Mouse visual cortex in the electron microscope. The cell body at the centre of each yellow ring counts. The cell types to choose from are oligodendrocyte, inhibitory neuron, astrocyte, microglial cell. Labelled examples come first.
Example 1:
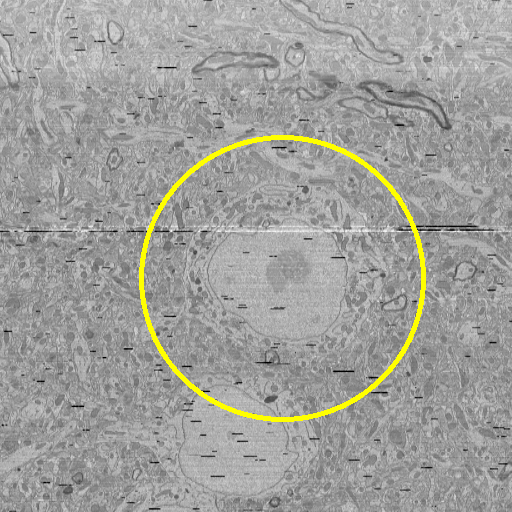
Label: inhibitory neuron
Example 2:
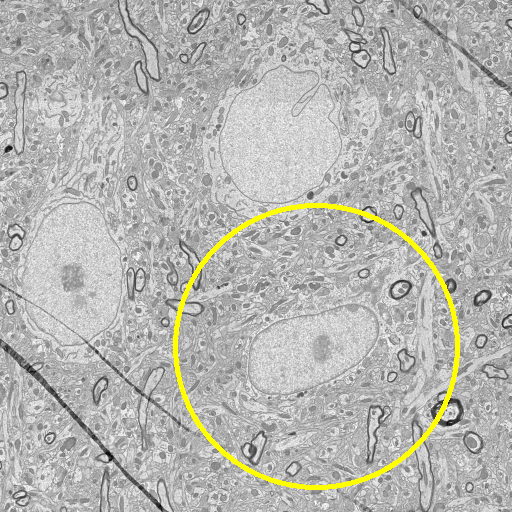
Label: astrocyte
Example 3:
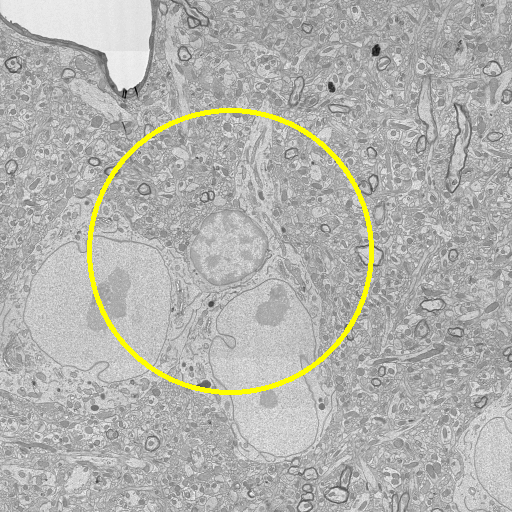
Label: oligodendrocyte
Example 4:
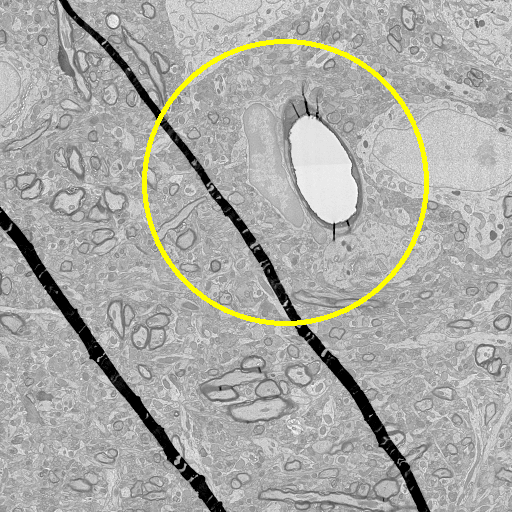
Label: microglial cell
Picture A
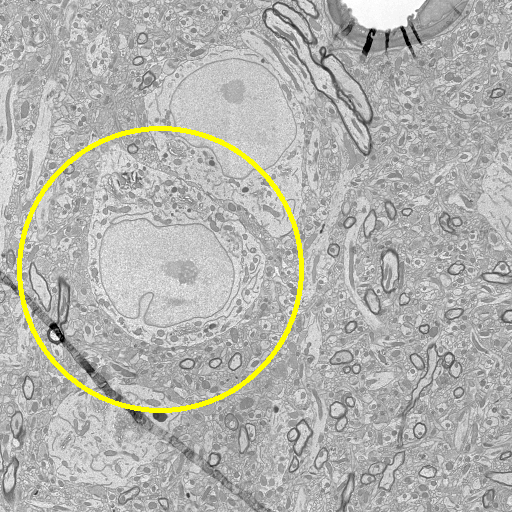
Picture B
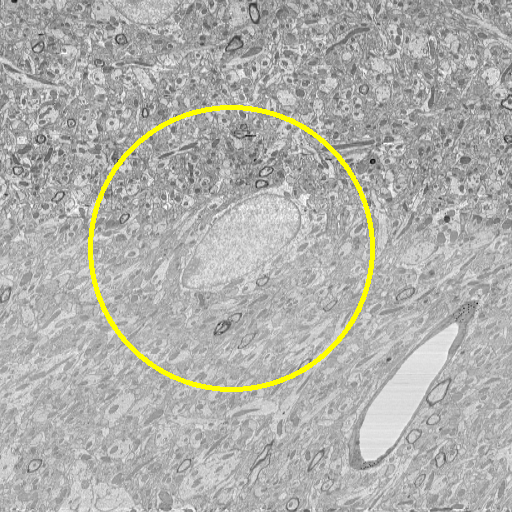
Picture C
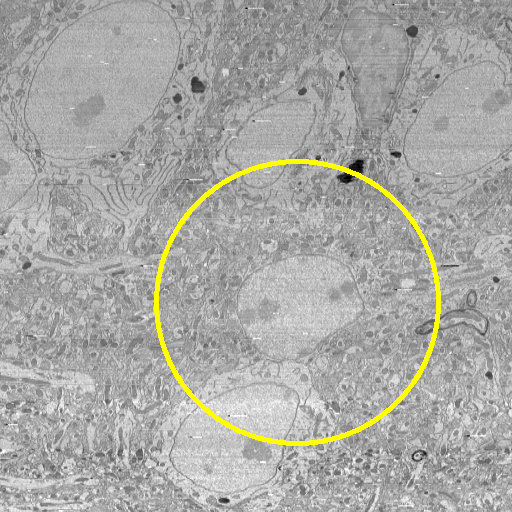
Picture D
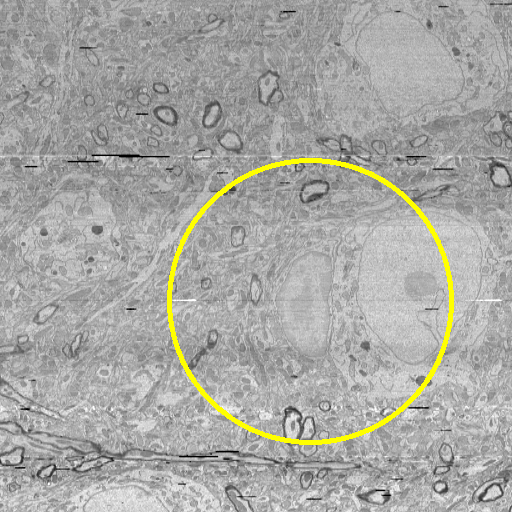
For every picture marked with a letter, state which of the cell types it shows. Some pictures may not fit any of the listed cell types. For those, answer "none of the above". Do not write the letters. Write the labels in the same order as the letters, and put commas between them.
inhibitory neuron, astrocyte, astrocyte, microglial cell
